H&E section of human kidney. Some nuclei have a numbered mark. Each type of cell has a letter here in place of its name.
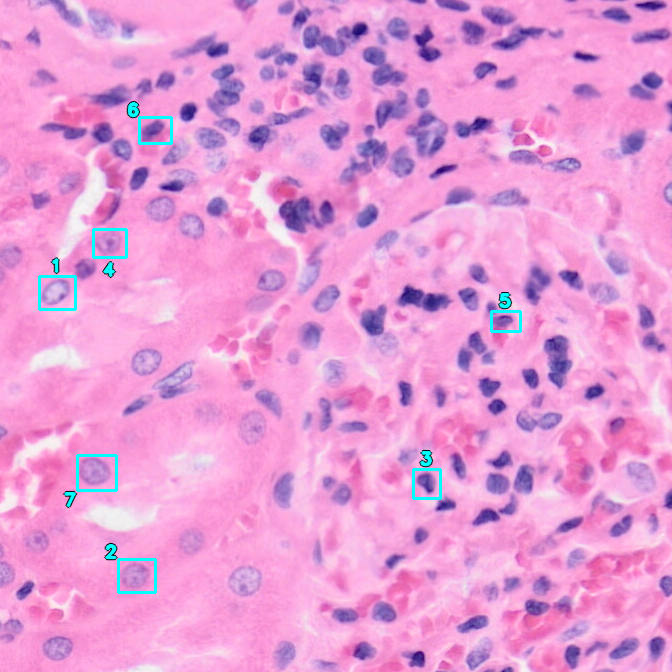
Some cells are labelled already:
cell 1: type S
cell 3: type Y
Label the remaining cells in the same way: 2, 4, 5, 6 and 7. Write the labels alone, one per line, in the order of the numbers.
type S
type S
type Y
type Y
type S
